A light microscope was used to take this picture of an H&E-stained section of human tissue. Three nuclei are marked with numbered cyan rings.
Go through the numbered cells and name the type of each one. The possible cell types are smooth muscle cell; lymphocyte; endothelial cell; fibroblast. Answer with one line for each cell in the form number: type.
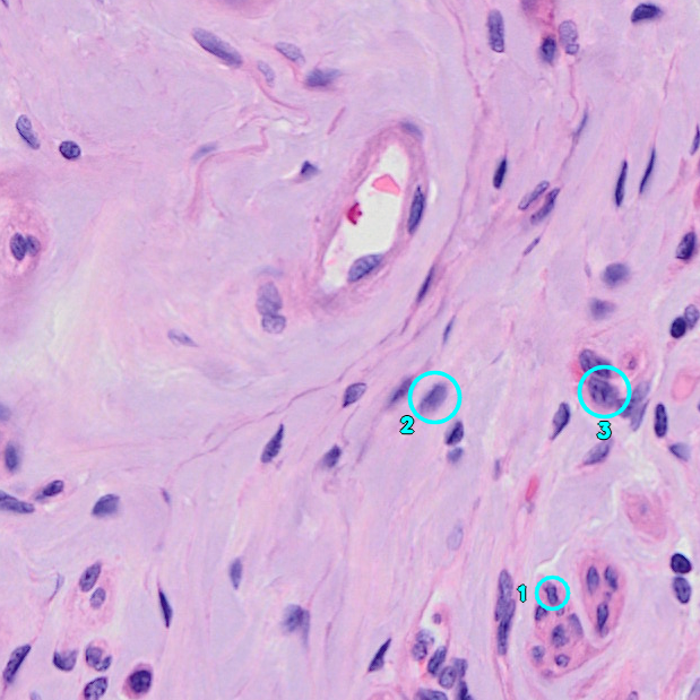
1: smooth muscle cell
2: fibroblast
3: endothelial cell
